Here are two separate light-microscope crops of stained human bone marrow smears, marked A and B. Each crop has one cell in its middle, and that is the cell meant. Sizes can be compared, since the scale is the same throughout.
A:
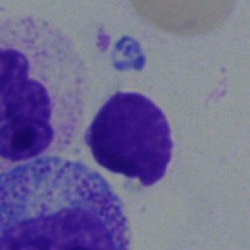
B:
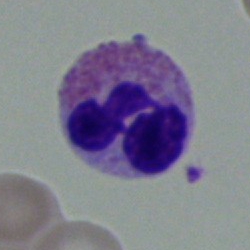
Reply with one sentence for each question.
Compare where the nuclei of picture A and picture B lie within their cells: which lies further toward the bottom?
In picture B the nucleus is shifted more toward the bottom.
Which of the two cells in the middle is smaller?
Picture A holds the smaller cell, since the cell in picture B covers about 2 times as much area.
